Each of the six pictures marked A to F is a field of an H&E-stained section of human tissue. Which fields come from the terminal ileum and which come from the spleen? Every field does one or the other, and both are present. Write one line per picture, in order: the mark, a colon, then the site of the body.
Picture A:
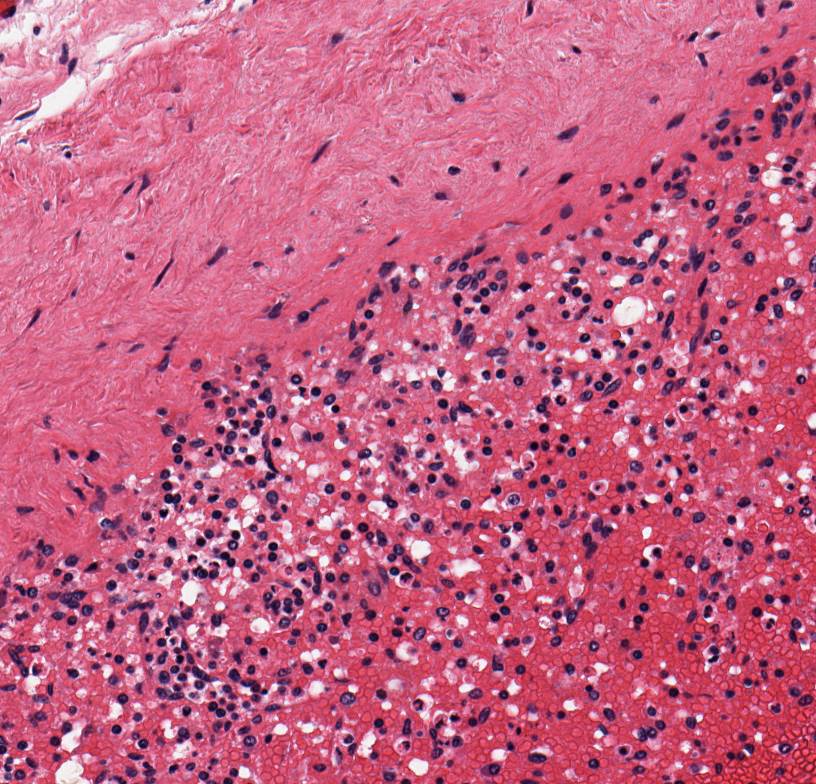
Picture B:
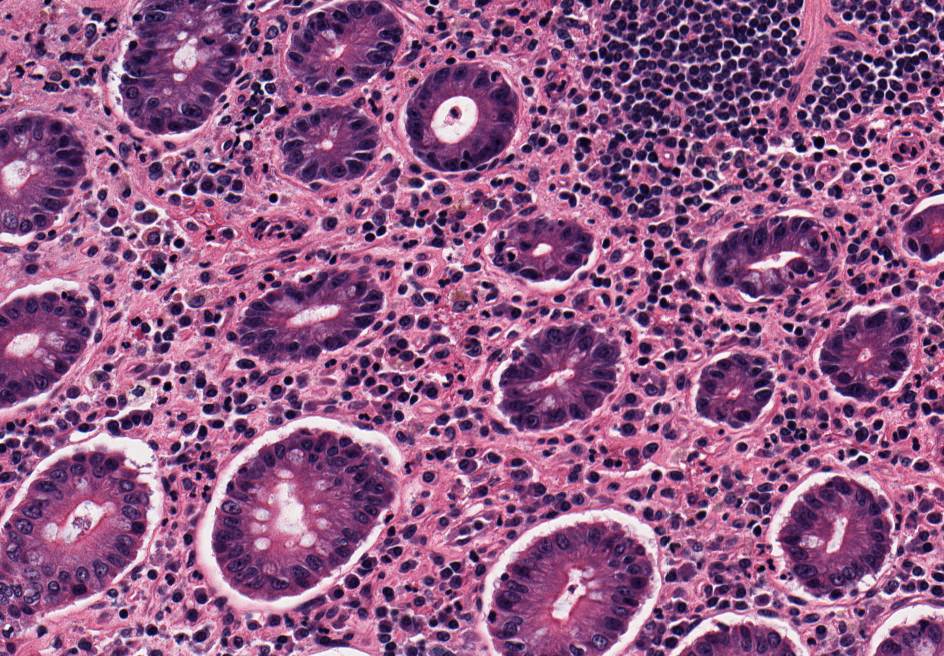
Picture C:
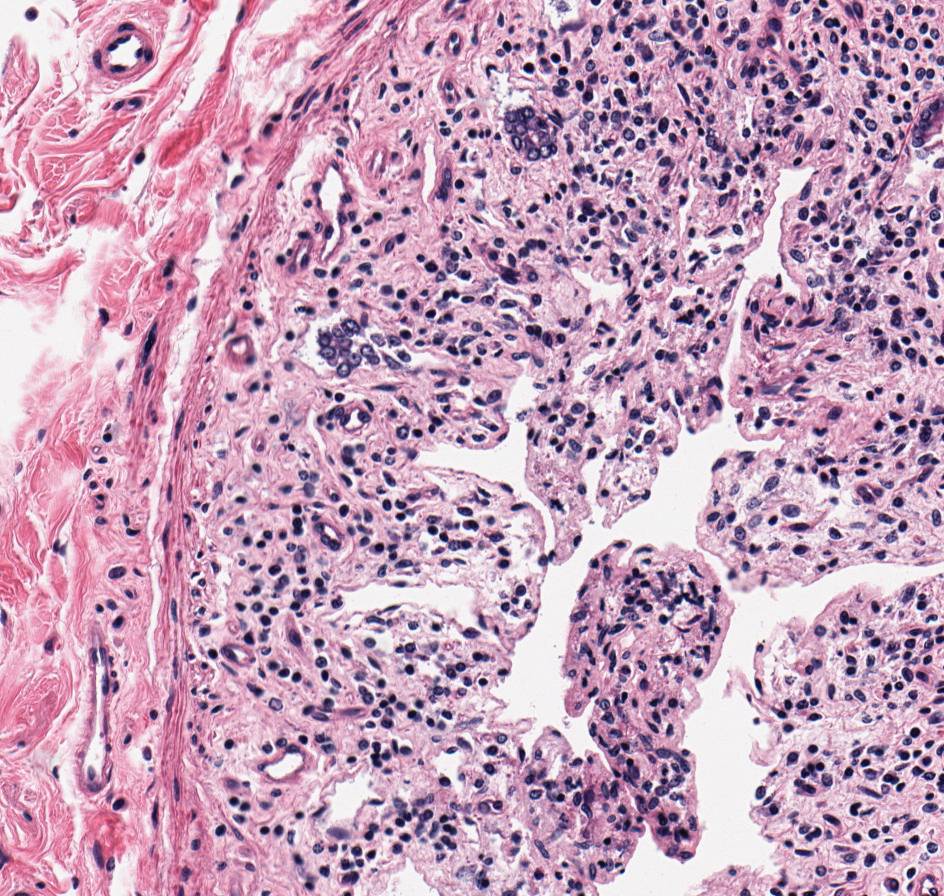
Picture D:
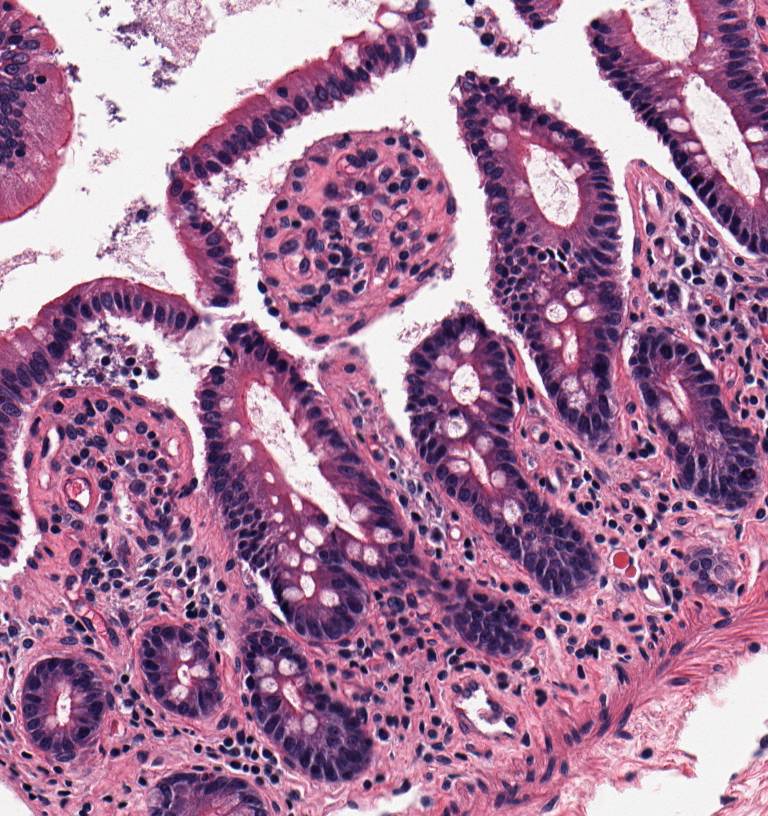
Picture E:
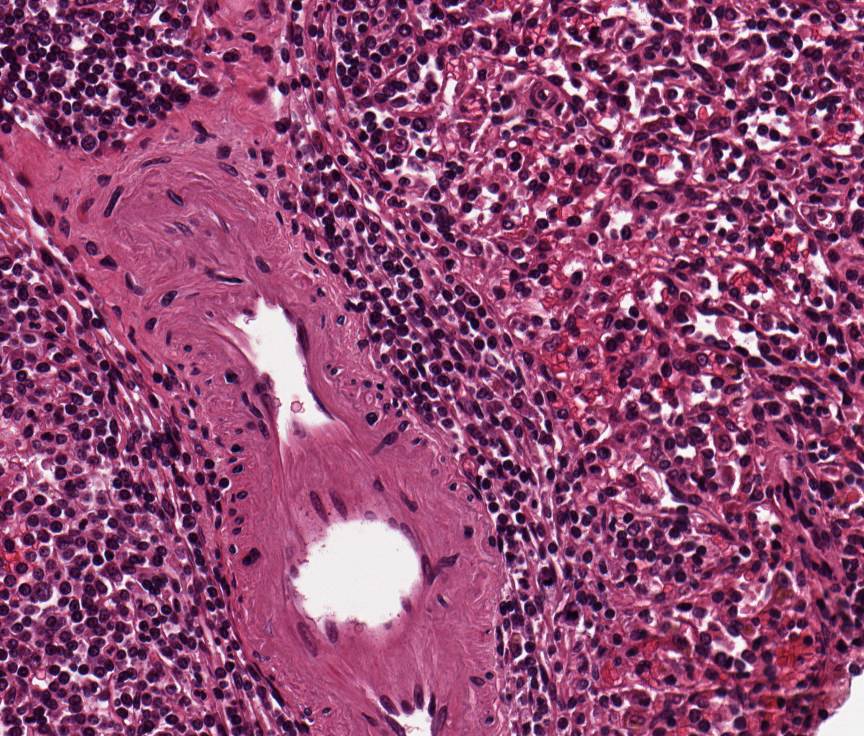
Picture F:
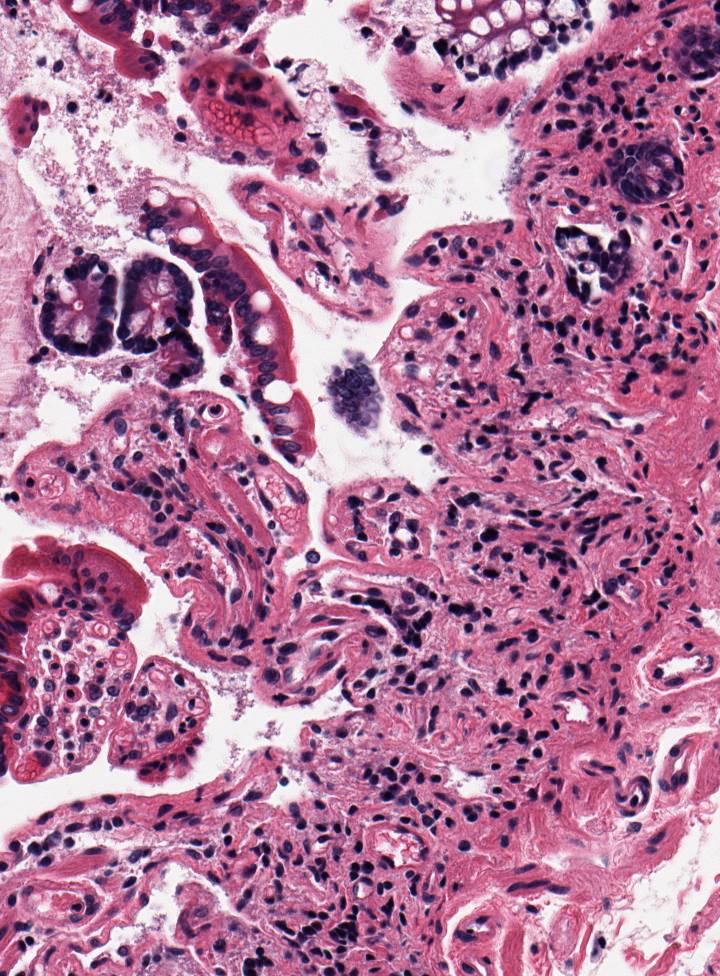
A: spleen
B: terminal ileum
C: terminal ileum
D: terminal ileum
E: spleen
F: terminal ileum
